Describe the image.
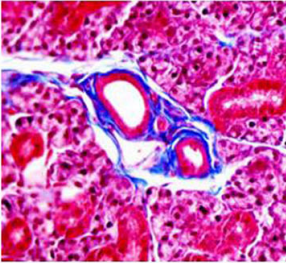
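This is salivary gland tissue made up of closely packed secretory acini and several ducts. The acinar cells have purplish-red cytoplasm and small dark nuclei and are arranged in tight clusters. The ducts are lined by a red-staining cuboidal to columnar epithelium around open round lumens. Elsewhere the parenchyma is separated only by narrow pale clefts with little blue stain.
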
